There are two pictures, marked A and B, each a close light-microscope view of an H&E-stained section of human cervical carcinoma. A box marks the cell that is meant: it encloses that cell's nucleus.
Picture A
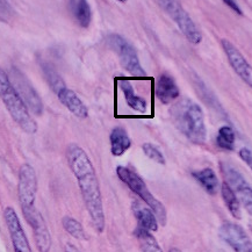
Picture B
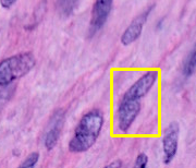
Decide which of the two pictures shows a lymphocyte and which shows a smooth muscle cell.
A: lymphocyte
B: smooth muscle cell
